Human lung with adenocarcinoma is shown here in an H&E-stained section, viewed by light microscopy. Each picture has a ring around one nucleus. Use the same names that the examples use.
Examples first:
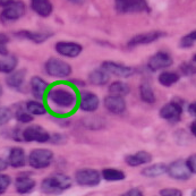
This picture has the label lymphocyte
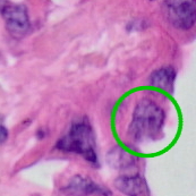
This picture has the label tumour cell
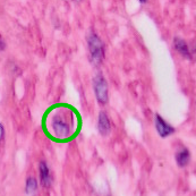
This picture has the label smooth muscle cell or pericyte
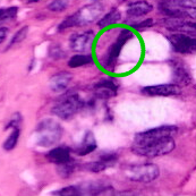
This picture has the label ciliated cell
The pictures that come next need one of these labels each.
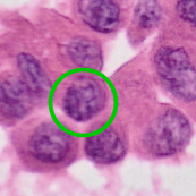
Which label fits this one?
tumour cell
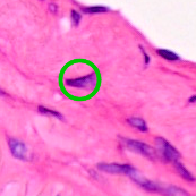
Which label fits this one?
smooth muscle cell or pericyte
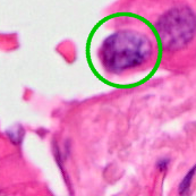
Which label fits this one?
tumour cell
